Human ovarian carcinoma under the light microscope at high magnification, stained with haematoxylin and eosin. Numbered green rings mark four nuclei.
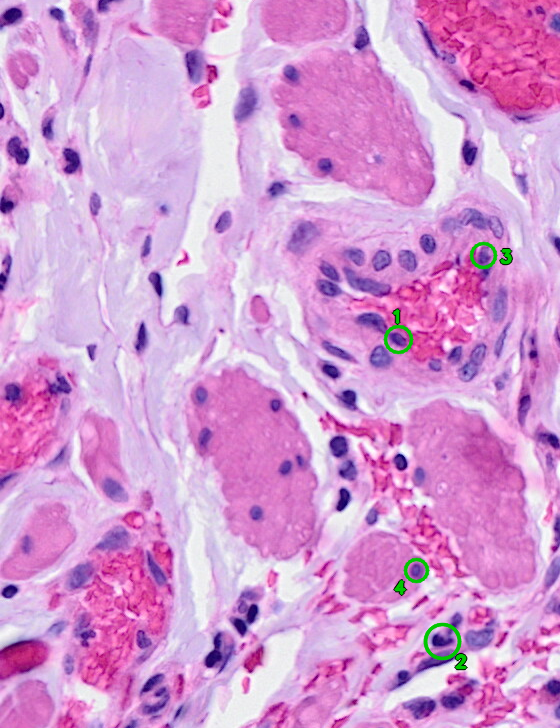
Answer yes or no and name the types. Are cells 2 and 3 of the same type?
No, cell 2 here is a lymphocyte, and cell 3 here is an endothelial cell.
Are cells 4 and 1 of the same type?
No, cell 1 is an endothelial cell, while cell 4 is a smooth muscle cell.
